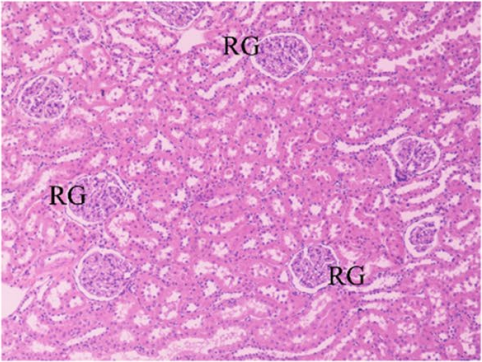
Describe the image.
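This is renal tissue with several glomeruli scattered among tubules. Each glomerulus is a round, cellular tuft of capillaries with many purple nuclei, set off from the surrounding tissue by a thin clear space. Between them lie closely packed tubules cut in various planes, lined by cells with pink cytoplasm around small open lumens.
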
